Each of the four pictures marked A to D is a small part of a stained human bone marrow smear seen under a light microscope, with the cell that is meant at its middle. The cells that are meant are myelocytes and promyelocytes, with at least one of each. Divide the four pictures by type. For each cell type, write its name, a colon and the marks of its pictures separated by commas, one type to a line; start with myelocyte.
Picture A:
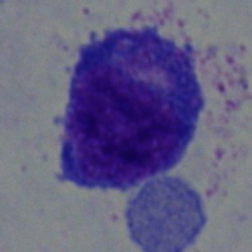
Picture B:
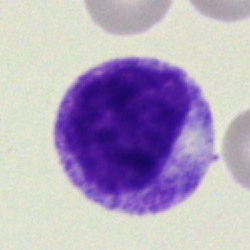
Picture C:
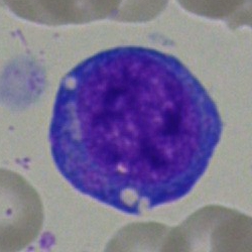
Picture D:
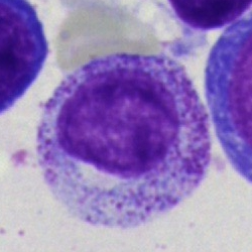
myelocyte: B, D
promyelocyte: A, C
